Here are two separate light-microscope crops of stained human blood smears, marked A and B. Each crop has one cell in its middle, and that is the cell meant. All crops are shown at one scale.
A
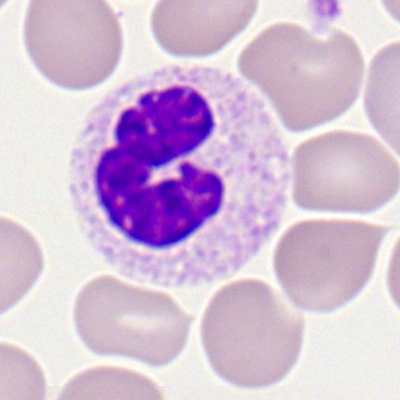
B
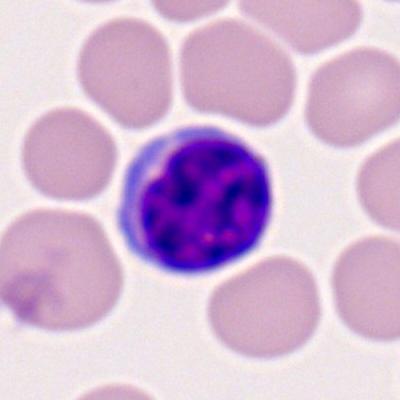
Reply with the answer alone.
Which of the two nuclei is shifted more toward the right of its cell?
B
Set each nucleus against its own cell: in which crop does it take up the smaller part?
A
